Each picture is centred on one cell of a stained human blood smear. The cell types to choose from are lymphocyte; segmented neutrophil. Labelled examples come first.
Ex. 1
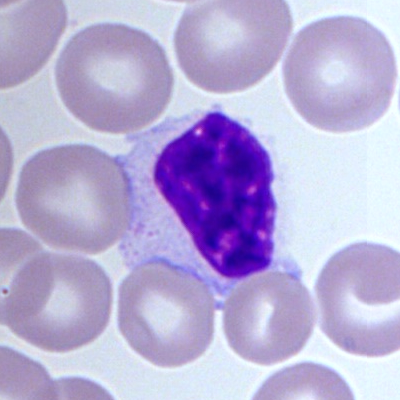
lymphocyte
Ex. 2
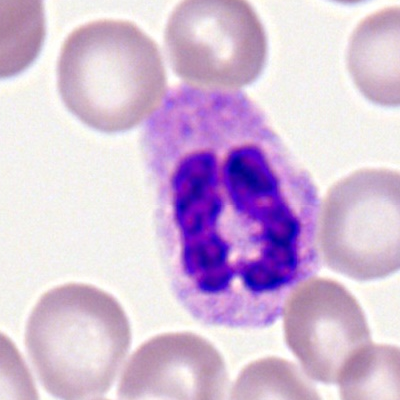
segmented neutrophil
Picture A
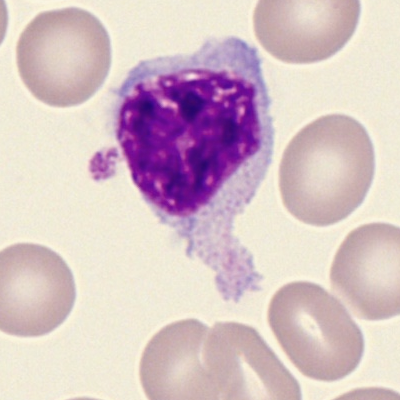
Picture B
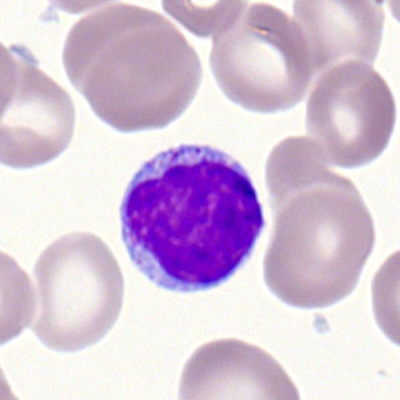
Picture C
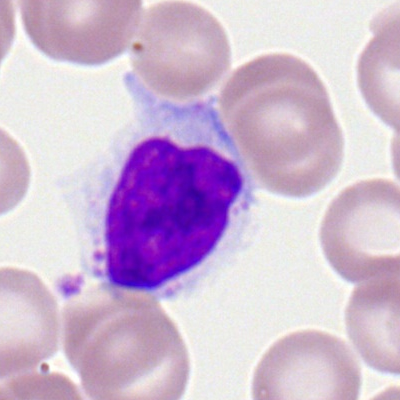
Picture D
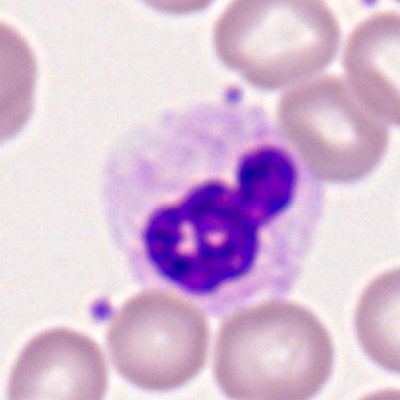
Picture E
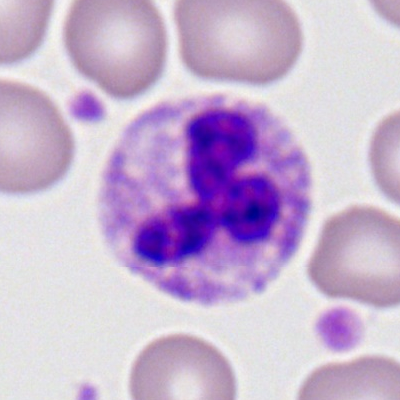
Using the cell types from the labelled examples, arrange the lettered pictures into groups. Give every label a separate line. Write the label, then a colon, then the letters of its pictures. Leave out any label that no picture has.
lymphocyte: A, B, C
segmented neutrophil: D, E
